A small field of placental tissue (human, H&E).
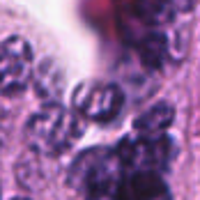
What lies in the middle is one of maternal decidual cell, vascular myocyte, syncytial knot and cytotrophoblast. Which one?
syncytial knot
